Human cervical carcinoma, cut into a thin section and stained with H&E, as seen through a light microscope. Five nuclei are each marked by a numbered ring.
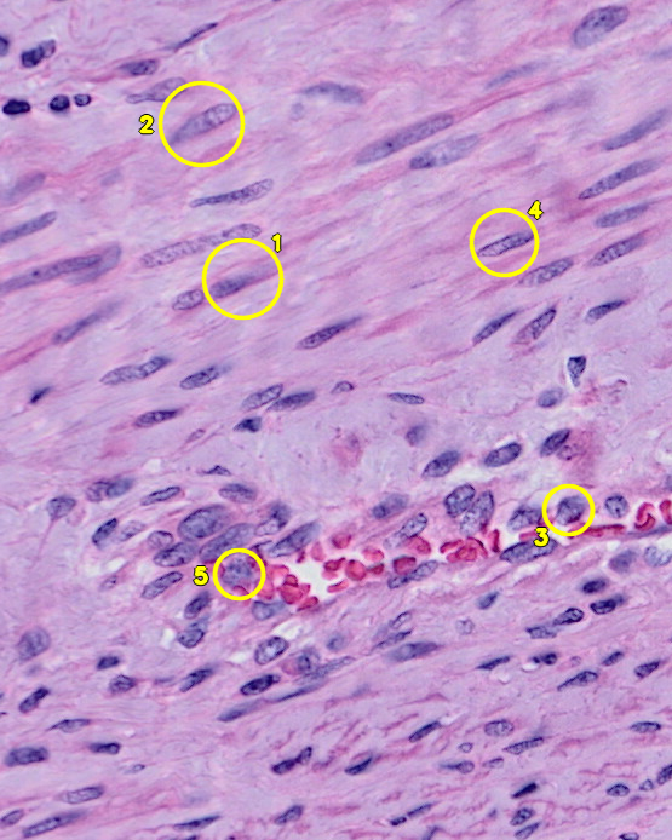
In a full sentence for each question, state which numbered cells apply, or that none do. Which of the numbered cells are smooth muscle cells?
Classified as smooth muscle cells are the cells numbered 1, 2 and 4.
